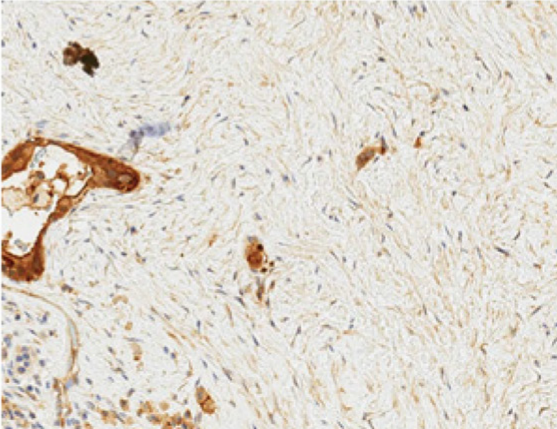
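The stroma consists of wavy fibers with scattered thin spindle-shaped blue nuclei and only faint brown tint. At the left edge an irregular gland-like structure with an open lumen is lined by epithelial cells with dense dark brown cytoplasm, and small brown-stained clusters lie isolated in the stroma.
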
